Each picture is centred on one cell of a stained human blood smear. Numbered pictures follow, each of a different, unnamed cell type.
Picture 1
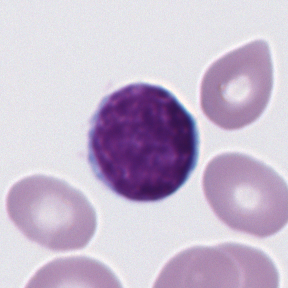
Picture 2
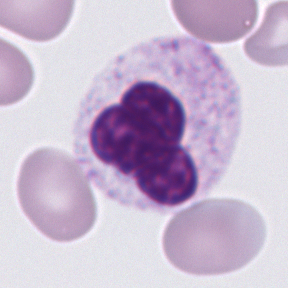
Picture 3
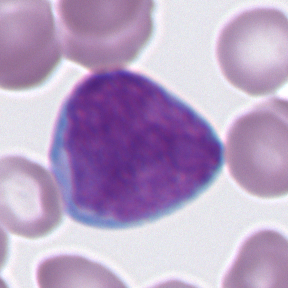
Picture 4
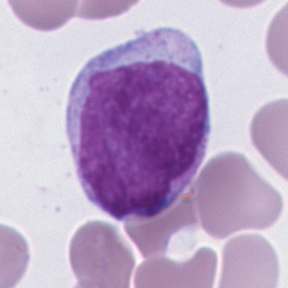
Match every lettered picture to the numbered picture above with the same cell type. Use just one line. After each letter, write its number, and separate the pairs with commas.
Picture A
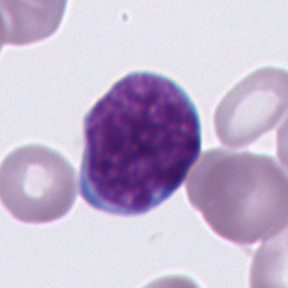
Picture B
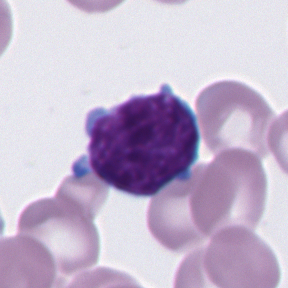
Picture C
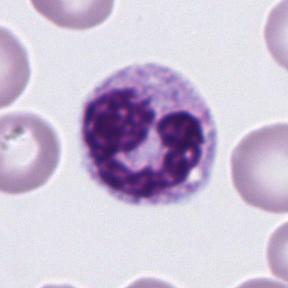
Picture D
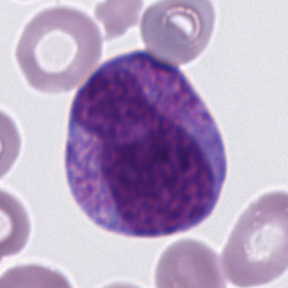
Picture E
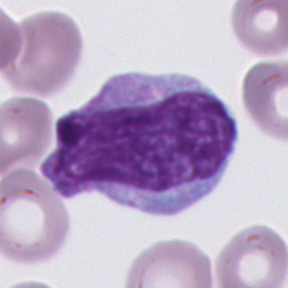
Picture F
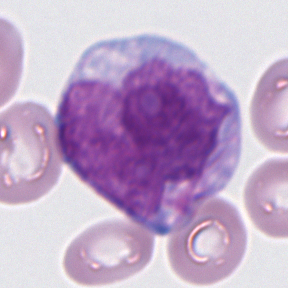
A 3, B 1, C 2, D 4, E 4, F 4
